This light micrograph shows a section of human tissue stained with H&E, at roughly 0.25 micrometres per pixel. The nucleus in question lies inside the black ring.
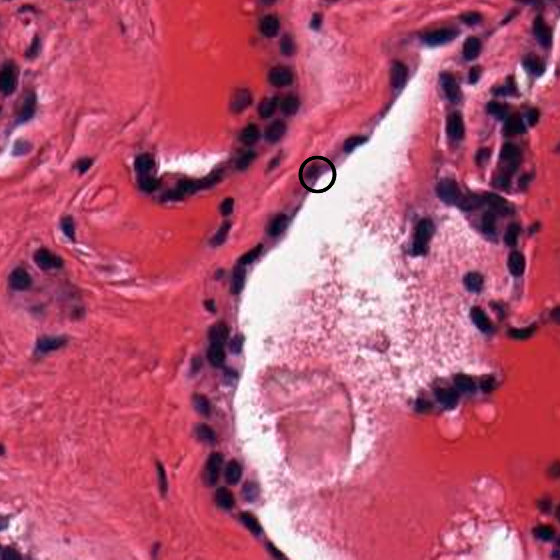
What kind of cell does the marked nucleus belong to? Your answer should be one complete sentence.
The marked nucleus sits within a thyroid follicular cell.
